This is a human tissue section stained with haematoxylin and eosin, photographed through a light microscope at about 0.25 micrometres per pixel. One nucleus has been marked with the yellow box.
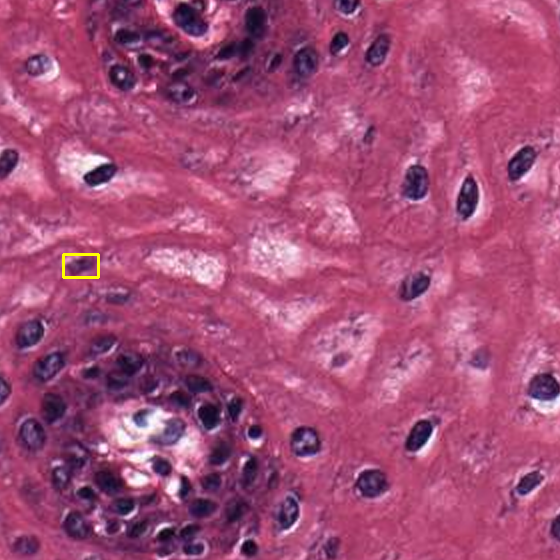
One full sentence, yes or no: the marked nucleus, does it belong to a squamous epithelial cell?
Yes, the cell containing the marked nucleus is a squamous epithelial cell.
